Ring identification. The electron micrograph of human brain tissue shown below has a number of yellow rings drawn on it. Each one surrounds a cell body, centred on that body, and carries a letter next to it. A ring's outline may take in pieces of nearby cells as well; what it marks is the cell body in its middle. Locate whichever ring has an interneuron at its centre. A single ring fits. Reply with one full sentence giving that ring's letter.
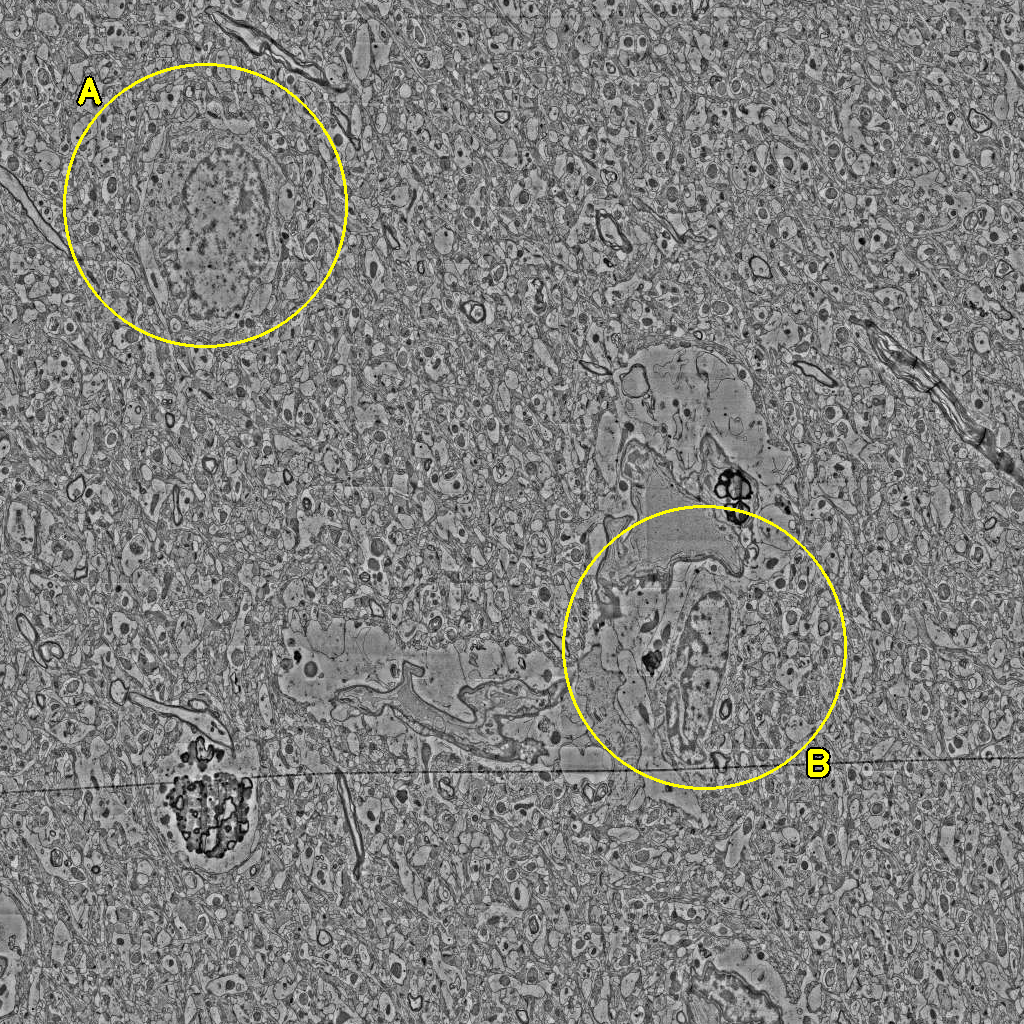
The letter A belongs to the ring centred on a cell of that kind.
